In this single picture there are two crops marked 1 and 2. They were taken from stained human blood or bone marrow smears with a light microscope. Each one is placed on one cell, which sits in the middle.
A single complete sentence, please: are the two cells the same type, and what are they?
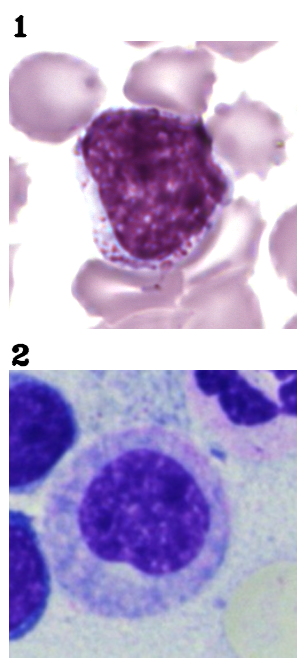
Yes, the two crops both show myelocytes.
